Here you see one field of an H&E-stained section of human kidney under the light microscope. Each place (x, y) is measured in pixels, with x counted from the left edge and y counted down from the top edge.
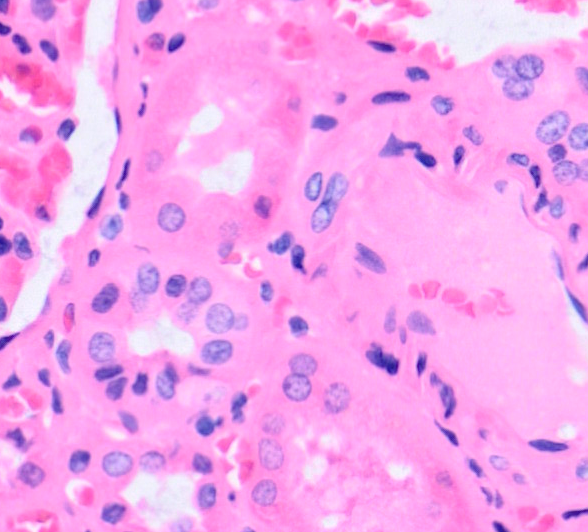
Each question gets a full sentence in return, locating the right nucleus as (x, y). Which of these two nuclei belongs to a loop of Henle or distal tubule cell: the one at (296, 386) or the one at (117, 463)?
The nucleus that sits at (117, 463) is the nucleus of a loop of Henle or distal tubule cell.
